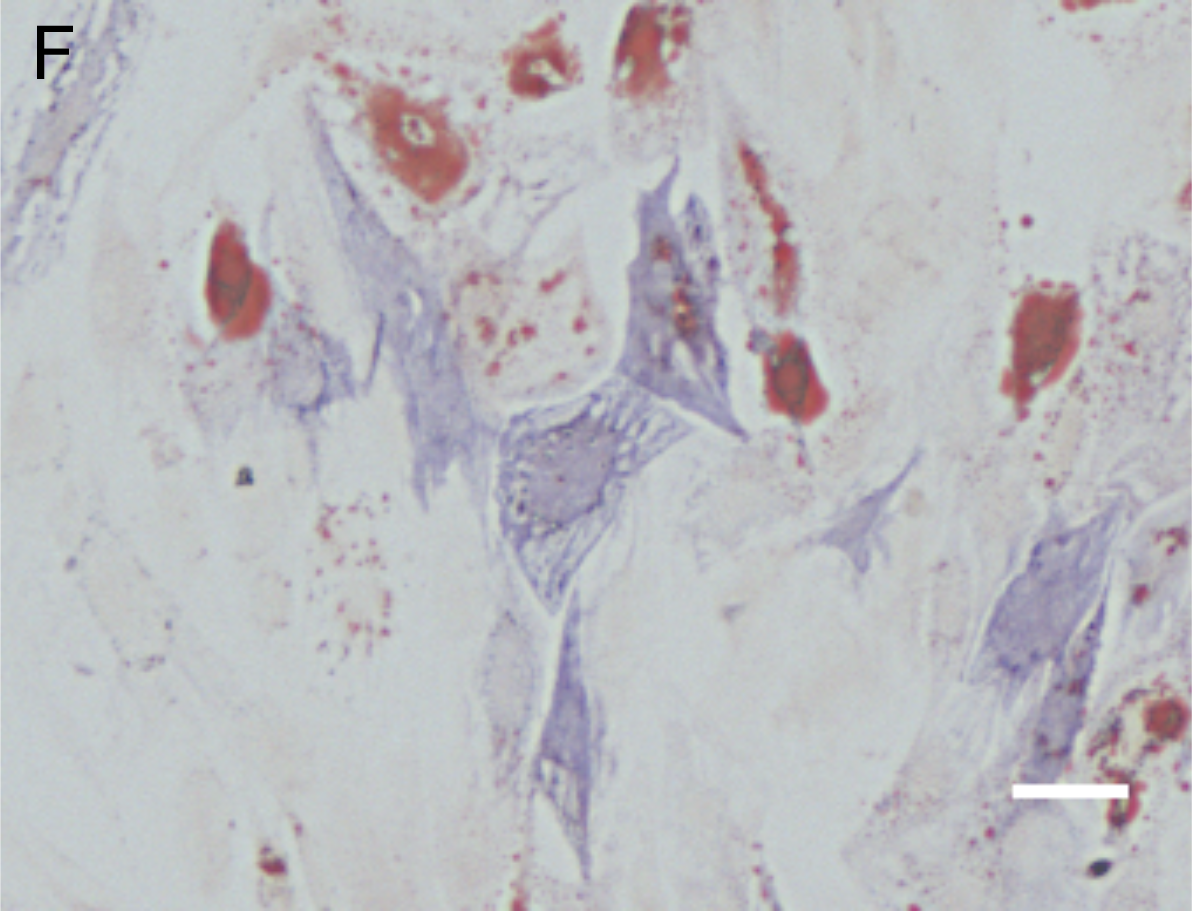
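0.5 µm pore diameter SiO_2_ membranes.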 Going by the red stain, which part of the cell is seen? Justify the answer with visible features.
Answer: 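Lipid vacuoles. Several rounded cells are filled with red-orange staining. Small red dots are scattered around and between the cells.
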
